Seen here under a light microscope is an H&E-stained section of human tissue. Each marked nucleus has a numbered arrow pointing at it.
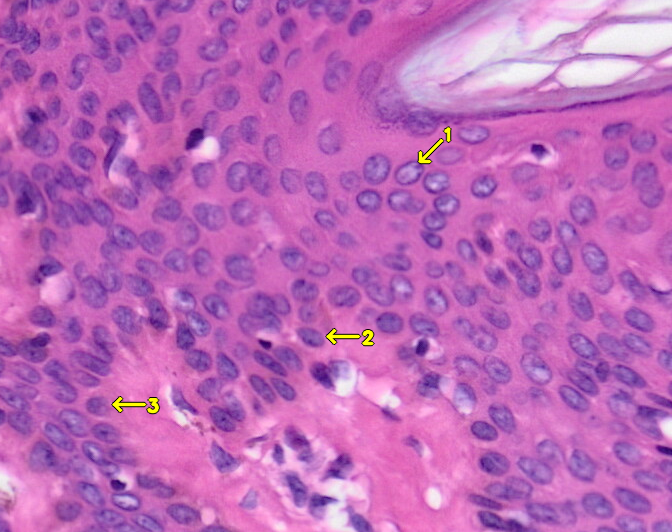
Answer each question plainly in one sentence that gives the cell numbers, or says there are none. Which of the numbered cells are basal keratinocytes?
The cells the numbers 2 and 3 point to are basal keratinocytes.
